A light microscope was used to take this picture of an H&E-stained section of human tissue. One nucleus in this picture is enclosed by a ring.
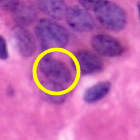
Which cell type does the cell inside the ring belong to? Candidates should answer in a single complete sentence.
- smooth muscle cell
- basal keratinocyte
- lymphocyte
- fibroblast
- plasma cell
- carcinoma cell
The category to which the cell inside the ring belongs is that of a basal keratinocyte.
